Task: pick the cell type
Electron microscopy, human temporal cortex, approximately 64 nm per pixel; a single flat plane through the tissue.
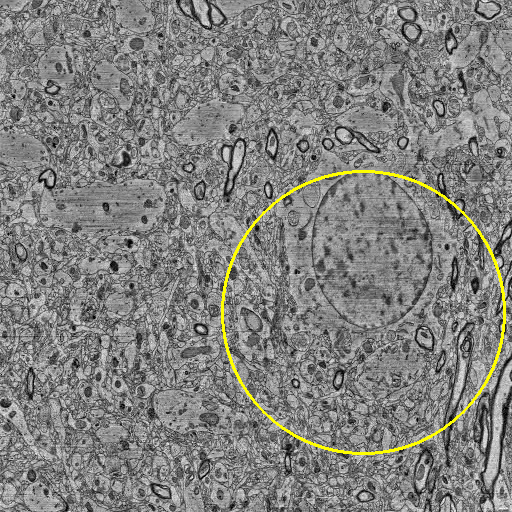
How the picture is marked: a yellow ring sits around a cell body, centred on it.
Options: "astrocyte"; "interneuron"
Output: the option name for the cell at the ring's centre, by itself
astrocyte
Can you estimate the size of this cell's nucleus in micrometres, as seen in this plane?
In this plane, about 11 micrometres in length and 8 in width.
